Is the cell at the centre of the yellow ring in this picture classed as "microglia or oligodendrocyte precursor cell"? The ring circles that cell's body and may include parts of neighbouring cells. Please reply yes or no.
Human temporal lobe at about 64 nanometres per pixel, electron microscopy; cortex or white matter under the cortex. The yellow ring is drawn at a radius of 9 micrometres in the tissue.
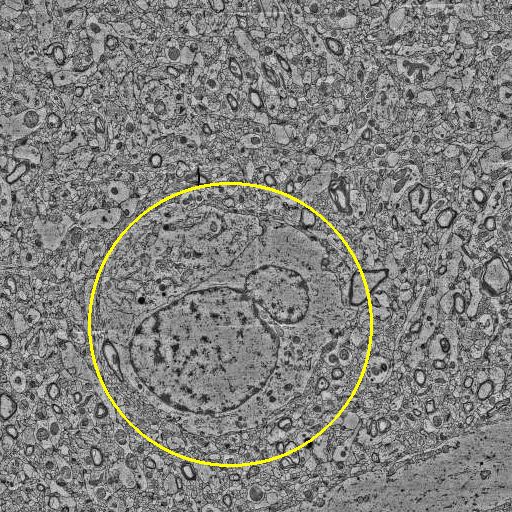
Yes, it is of that kind.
